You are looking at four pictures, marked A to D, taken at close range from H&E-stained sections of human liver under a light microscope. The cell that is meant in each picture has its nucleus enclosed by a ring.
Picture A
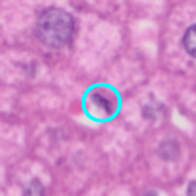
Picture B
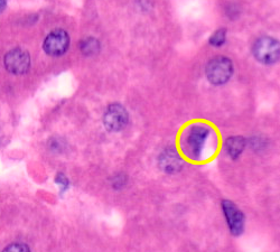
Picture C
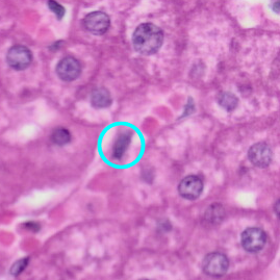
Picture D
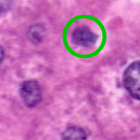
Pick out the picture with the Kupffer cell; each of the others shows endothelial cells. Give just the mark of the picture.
C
